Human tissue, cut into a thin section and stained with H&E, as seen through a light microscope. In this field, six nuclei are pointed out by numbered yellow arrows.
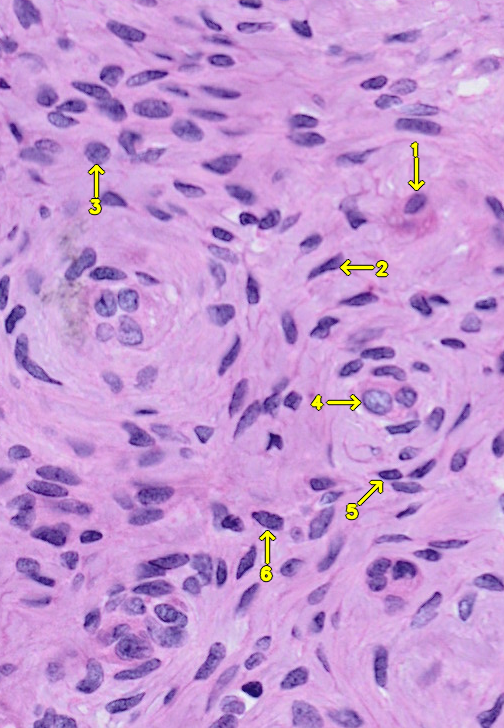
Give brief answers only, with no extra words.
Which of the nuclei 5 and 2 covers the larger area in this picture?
2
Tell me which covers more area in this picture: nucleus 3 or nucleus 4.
4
